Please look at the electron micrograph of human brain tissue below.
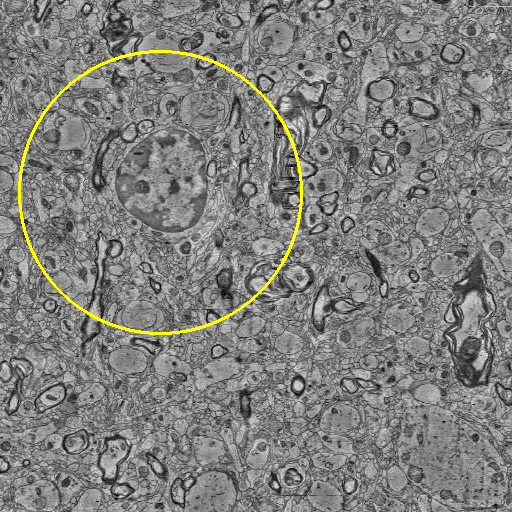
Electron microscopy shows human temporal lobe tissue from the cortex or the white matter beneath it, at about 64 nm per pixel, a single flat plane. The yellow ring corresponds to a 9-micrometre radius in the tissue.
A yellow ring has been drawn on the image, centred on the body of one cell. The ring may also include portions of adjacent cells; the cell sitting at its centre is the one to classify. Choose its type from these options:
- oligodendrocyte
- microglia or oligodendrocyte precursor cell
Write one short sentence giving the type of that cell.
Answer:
The cell in the middle of the ring is a microglial cell or oligodendrocyte precursor cell.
